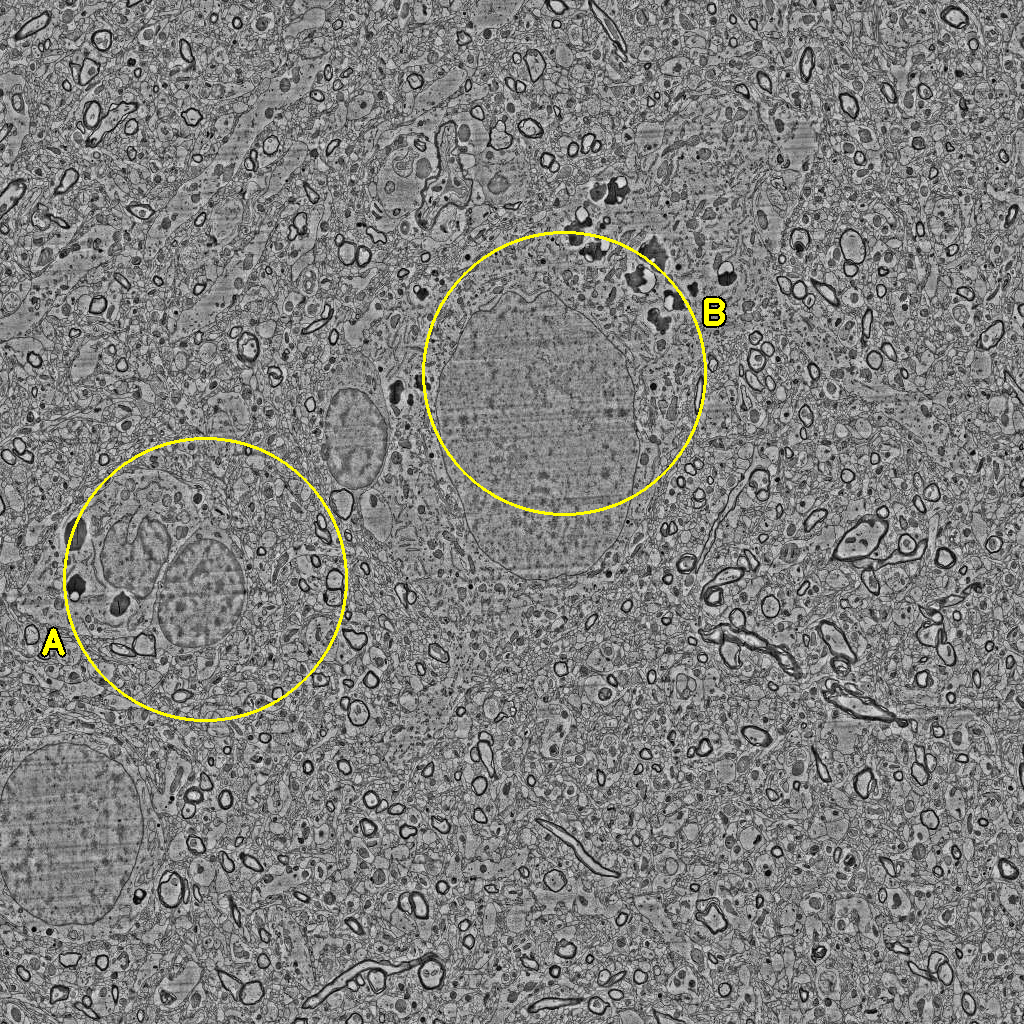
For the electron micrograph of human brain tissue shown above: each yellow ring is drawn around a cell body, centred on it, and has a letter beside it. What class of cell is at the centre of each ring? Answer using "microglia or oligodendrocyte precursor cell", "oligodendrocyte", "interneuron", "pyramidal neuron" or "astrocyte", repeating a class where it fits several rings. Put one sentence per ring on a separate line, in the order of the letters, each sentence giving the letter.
At ring A, the central cell is an oligodendrocyte.
At ring B, the central cell is a pyramidal neuron.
